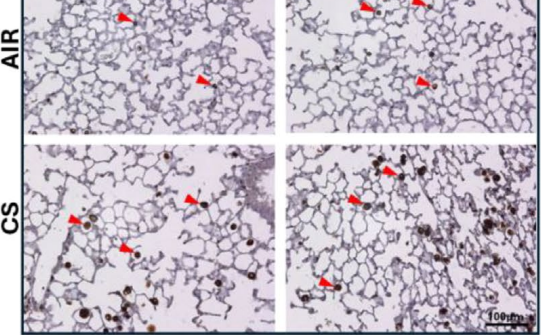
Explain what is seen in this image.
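The lung tissue forms a fine network of thin alveolar walls surrounding open air spaces. The brown cells are round to oval, single, and sit within the air spaces or pressed against the alveolar walls. They are sparse in the upper images and far more numerous, some larger and clustered, in the lower images.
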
